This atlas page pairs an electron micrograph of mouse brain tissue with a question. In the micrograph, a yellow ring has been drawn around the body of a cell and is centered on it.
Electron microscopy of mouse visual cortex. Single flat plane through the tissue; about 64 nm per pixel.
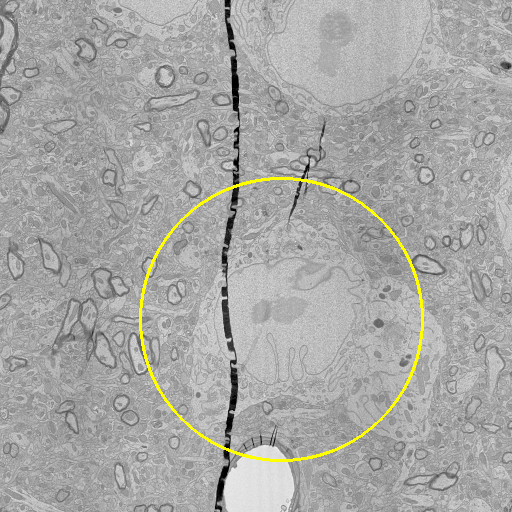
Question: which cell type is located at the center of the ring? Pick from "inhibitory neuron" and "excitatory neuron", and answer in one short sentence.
Located at the center of the ring is an inhibitory neuron.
